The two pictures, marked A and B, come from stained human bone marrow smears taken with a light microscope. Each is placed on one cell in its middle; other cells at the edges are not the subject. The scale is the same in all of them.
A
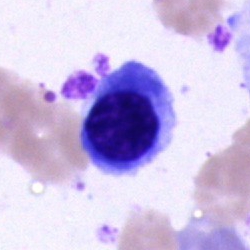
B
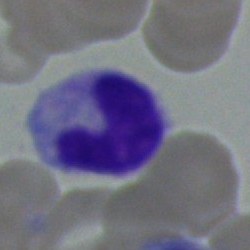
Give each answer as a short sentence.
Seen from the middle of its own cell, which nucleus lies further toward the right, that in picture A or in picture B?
The nucleus in picture B lies further toward the right of its cell.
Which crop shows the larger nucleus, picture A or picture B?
Picture B shows the larger nucleus; it covers about 1.5 times the area of the nucleus in picture A.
